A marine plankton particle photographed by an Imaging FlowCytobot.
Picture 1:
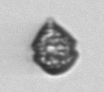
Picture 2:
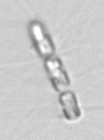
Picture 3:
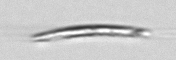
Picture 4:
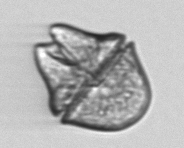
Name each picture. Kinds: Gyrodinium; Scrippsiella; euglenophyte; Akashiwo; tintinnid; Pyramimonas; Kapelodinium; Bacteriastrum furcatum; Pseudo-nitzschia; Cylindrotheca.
Picture 1: Scrippsiella
Picture 2: Bacteriastrum furcatum
Picture 3: euglenophyte
Picture 4: Akashiwo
